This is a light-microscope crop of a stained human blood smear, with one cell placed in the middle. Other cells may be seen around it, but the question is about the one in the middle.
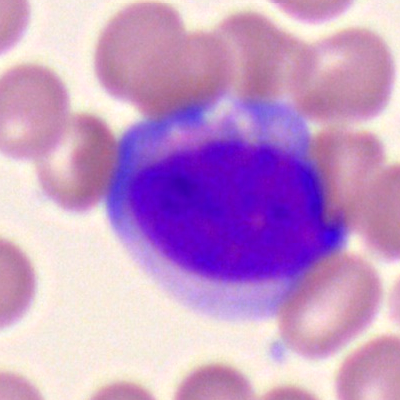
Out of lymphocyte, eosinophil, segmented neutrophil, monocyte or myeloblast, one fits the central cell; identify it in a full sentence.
The middle of this crop is occupied by a myeloblast.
